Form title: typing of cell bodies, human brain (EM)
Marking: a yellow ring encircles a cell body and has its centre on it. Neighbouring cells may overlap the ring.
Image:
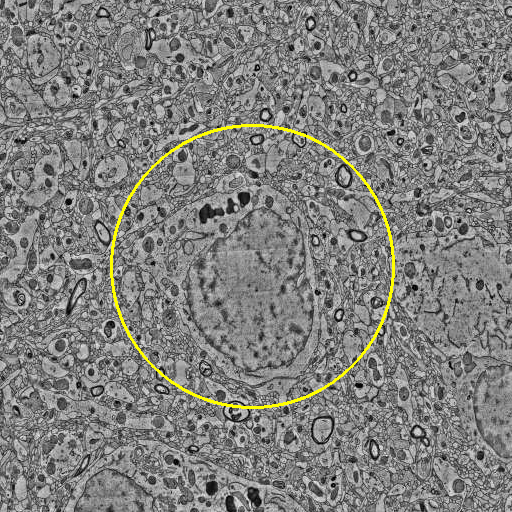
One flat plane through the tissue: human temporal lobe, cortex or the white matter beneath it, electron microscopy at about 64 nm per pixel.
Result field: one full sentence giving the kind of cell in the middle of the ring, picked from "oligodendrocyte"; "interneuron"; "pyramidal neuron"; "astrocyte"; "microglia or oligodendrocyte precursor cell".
In the picture, the ring is centred on an interneuron, whose cell body it encircles.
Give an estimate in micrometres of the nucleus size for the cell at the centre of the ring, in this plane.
In this plane the nucleus spans approximately 10 by 8 micrometers.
